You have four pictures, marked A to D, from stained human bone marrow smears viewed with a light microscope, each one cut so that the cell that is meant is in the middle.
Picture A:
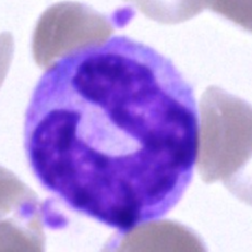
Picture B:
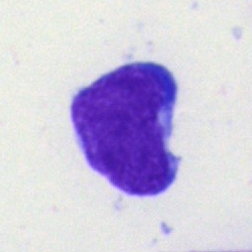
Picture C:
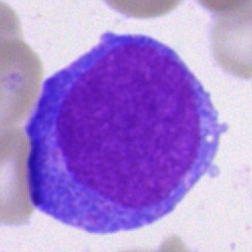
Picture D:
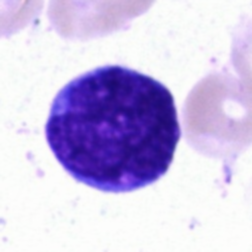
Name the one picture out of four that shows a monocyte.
A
